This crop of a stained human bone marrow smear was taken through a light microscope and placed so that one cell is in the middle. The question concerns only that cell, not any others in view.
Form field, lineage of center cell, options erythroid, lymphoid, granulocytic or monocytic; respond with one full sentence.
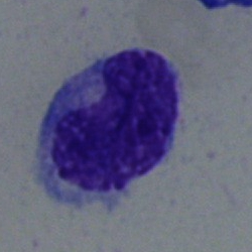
The cell at the middle of this crop is assigned to the monocytic lineage.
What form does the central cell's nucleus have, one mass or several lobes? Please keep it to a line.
There is one compact nucleus, and its shape is round, oval or kidney-like.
